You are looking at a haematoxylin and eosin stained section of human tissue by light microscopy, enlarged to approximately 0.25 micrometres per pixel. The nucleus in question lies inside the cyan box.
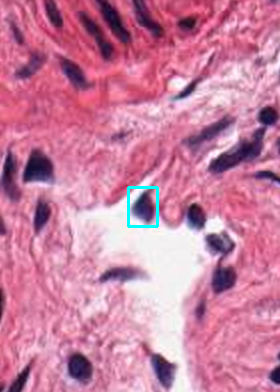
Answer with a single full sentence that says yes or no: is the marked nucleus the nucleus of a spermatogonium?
No, rather than to a spermatogonium, the marked nucleus belongs to a supporting cell.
